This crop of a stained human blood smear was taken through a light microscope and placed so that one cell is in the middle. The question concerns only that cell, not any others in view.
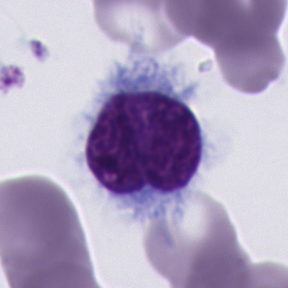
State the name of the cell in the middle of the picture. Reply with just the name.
hairy cell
